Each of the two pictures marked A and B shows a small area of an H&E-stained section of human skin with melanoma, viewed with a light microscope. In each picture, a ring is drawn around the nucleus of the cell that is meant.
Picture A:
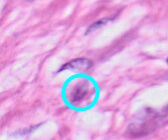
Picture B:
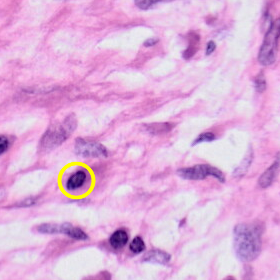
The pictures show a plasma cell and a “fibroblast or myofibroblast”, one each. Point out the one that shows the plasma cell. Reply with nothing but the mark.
B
